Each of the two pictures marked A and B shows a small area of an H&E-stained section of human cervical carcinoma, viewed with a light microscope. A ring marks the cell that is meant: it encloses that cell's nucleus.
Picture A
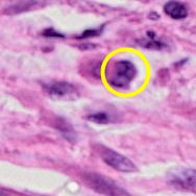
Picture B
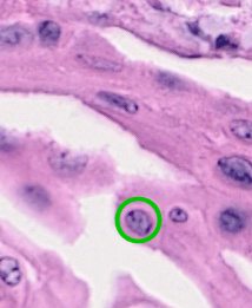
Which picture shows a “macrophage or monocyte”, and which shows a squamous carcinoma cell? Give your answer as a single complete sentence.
In picture A the cell is a “macrophage or monocyte”; in picture B, a squamous carcinoma cell.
